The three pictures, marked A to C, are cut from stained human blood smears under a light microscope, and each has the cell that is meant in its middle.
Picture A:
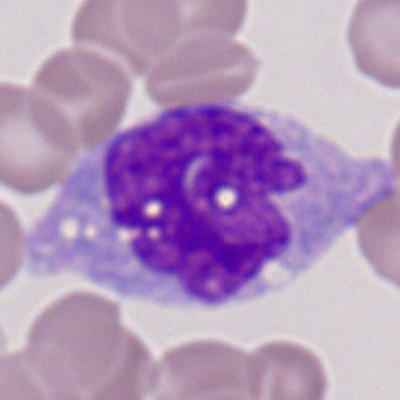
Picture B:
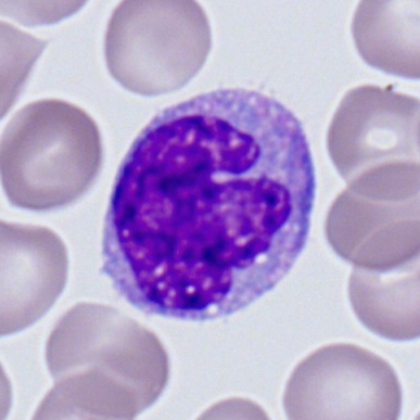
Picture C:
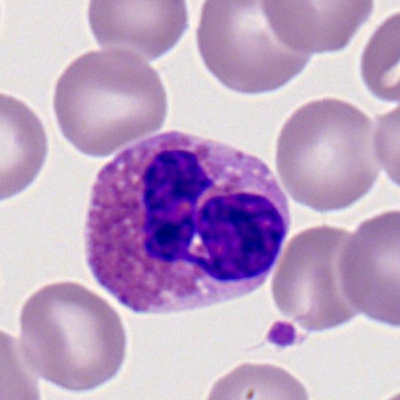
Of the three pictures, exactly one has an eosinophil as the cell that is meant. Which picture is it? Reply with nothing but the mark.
C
